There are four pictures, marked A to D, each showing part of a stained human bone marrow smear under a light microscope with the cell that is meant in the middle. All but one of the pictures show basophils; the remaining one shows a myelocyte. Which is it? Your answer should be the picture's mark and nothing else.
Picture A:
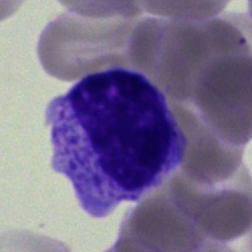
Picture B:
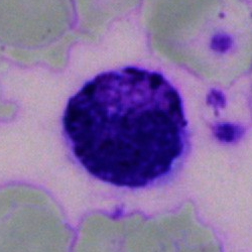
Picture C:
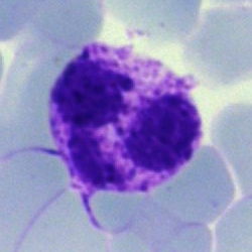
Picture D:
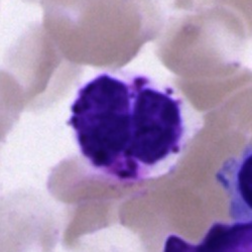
A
